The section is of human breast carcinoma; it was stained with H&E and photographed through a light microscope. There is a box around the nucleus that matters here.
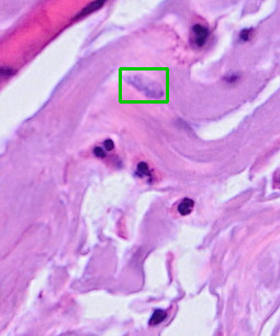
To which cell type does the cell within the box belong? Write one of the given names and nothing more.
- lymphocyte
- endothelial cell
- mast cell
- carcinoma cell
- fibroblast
fibroblast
